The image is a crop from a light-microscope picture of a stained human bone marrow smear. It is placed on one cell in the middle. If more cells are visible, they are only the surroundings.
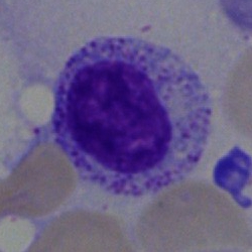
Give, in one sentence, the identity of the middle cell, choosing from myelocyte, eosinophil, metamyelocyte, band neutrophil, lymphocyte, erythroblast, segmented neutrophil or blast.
Regarding the central cell, it is a myelocyte.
